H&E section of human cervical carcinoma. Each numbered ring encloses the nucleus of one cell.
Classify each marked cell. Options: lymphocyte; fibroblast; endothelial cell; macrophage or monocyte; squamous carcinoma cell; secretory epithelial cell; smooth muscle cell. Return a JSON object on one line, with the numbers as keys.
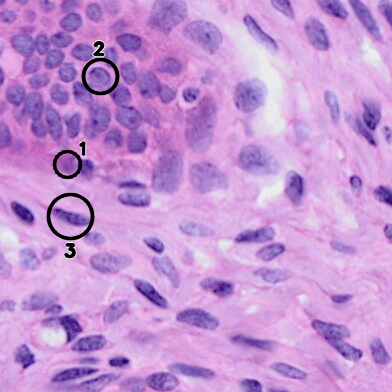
{"1": "secretory epithelial cell", "2": "secretory epithelial cell", "3": "fibroblast"}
